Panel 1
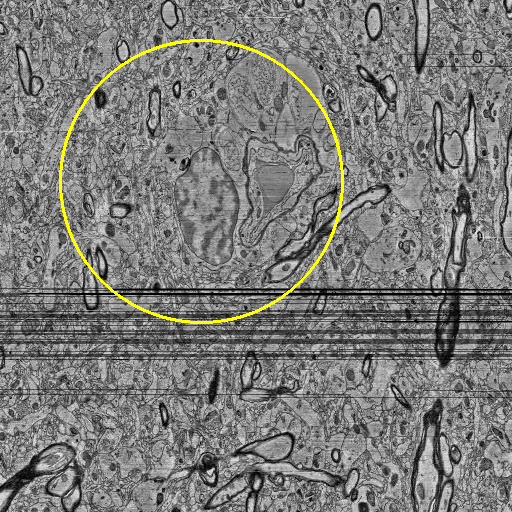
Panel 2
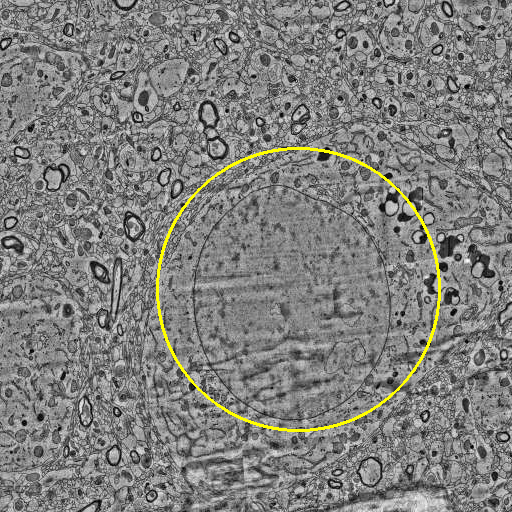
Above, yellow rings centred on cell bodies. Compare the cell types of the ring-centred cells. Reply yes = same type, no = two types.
no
